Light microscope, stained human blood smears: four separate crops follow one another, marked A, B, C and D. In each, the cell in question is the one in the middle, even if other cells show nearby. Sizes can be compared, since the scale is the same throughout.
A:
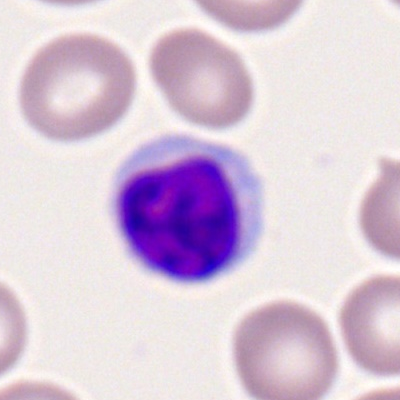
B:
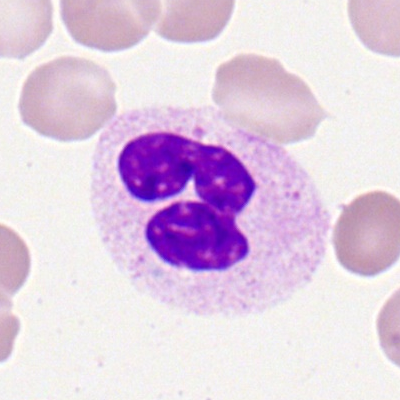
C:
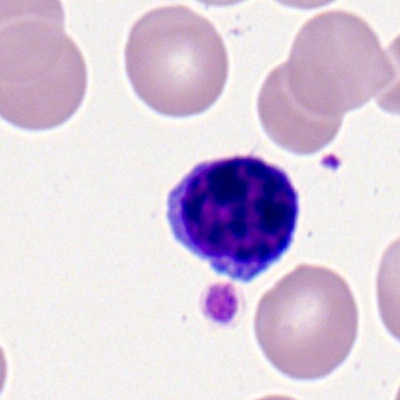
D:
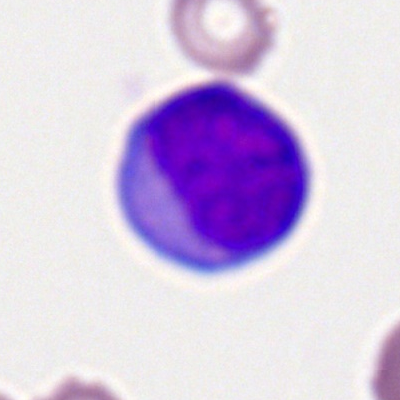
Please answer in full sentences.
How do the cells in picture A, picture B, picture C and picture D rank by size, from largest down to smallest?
Going down, they run B, D, A, C.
